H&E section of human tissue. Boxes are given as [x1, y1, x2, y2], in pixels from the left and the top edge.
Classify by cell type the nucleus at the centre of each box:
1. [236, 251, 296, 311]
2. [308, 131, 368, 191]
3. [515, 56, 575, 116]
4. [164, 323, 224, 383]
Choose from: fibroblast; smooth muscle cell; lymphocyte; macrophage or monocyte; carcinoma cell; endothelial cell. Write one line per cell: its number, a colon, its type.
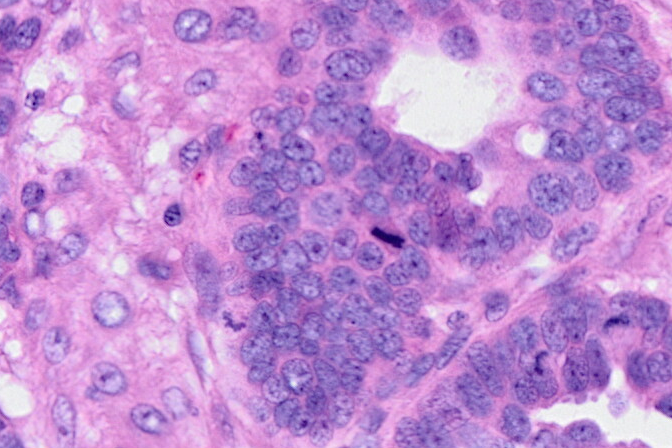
1: carcinoma cell
2: carcinoma cell
3: carcinoma cell
4: fibroblast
